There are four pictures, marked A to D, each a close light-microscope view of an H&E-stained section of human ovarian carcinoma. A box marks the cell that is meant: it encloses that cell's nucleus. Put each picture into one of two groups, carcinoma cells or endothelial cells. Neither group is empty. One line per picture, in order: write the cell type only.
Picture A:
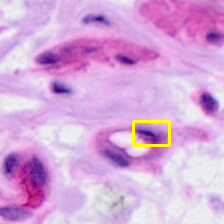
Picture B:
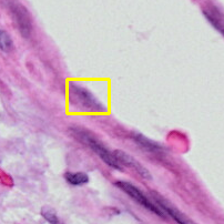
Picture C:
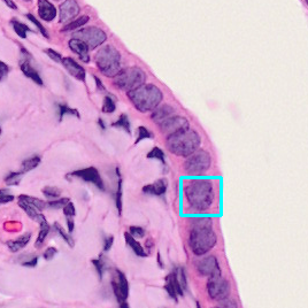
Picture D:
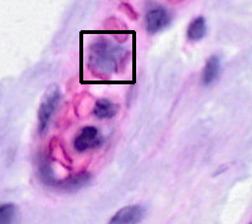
endothelial cell
endothelial cell
carcinoma cell
endothelial cell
